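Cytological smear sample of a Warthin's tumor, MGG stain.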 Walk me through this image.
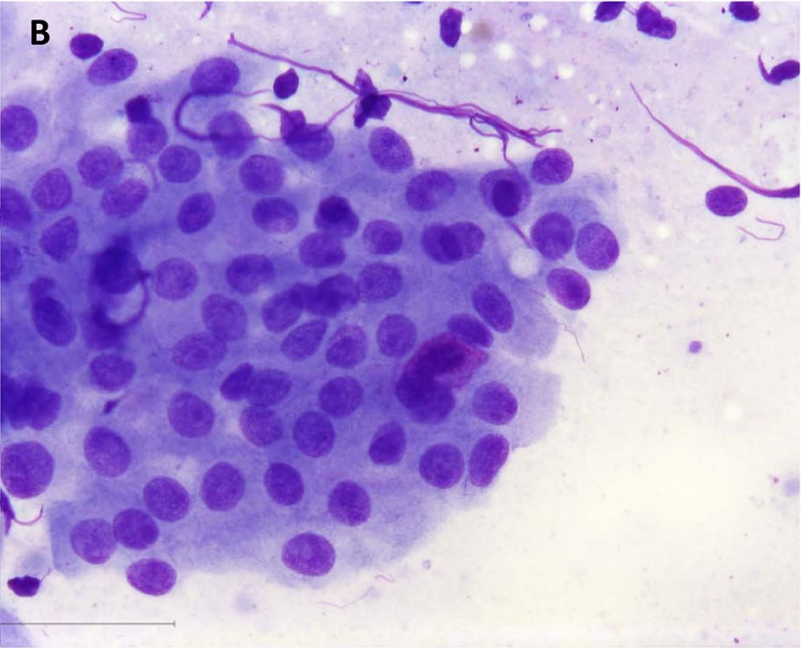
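A flat, cohesive sheet of epithelial cells fills most of the field, the cells sharing a broad expanse of pale blue-purple cytoplasm with indistinct borders. A few wavy purple strands cross the upper edge of the sheet, and a few small dark nuclei lie in the background. These are oncocytes forming a sheet of oncocytic epithelium.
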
